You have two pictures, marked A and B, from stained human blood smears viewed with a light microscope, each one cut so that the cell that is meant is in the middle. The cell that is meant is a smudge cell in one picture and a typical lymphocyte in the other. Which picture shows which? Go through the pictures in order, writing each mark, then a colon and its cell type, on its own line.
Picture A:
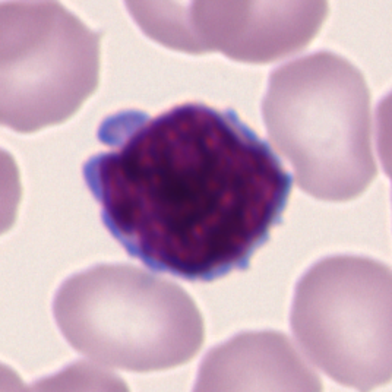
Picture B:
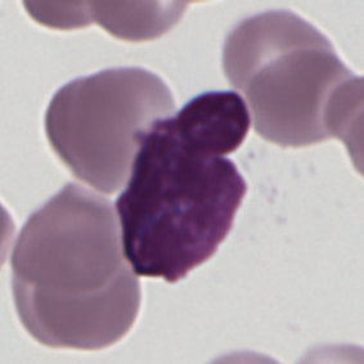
A: typical lymphocyte
B: smudge cell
